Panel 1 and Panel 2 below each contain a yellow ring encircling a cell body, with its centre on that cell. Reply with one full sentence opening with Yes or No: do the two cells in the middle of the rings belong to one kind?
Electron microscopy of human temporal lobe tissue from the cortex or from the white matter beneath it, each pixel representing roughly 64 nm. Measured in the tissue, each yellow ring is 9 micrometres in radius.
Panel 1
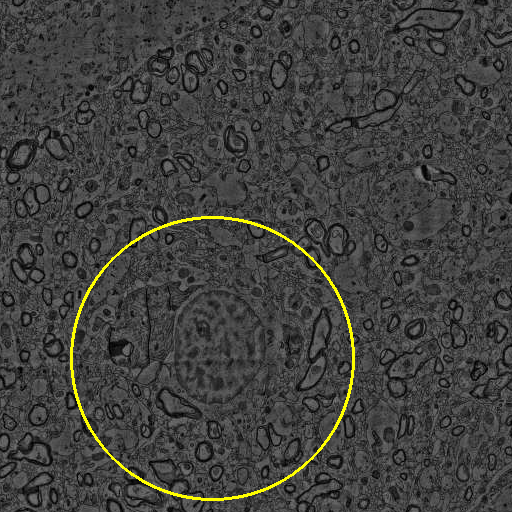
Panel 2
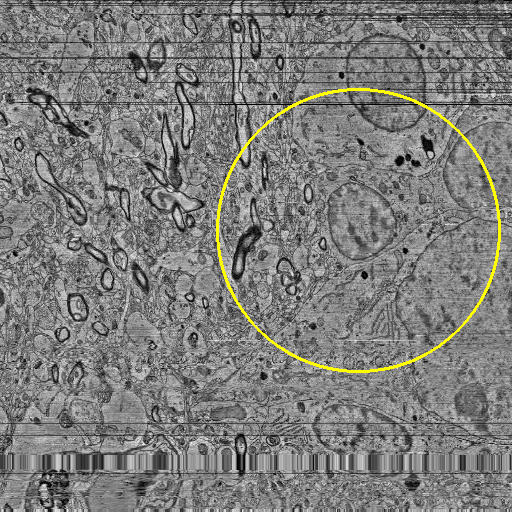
Yes, the cells at the middle of the Panel 1 ring and the Panel 2 ring are of one kind.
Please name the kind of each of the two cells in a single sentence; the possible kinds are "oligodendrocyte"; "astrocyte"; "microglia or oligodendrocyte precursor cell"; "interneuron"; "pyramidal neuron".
Each of the two rings surrounds an oligodendrocyte.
